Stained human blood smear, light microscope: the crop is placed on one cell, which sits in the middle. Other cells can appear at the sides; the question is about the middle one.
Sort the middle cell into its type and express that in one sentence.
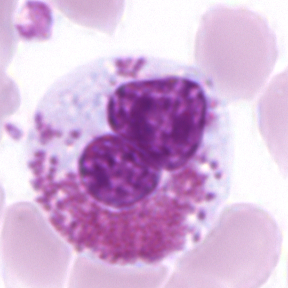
The cell nearest the centre of this crop is an eosinophil.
